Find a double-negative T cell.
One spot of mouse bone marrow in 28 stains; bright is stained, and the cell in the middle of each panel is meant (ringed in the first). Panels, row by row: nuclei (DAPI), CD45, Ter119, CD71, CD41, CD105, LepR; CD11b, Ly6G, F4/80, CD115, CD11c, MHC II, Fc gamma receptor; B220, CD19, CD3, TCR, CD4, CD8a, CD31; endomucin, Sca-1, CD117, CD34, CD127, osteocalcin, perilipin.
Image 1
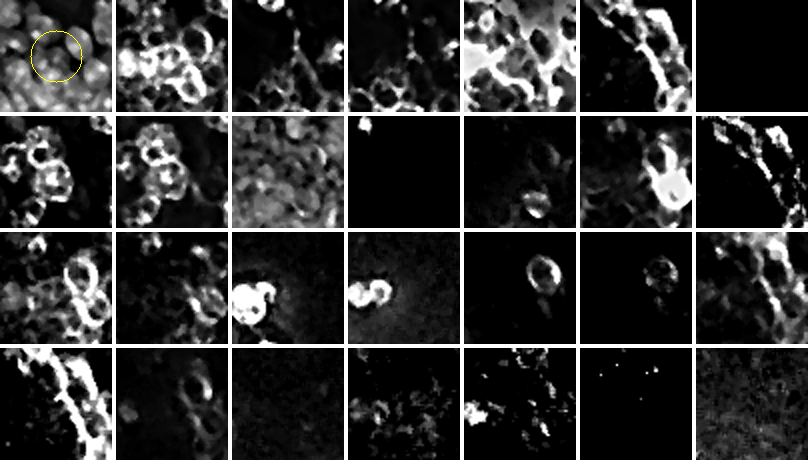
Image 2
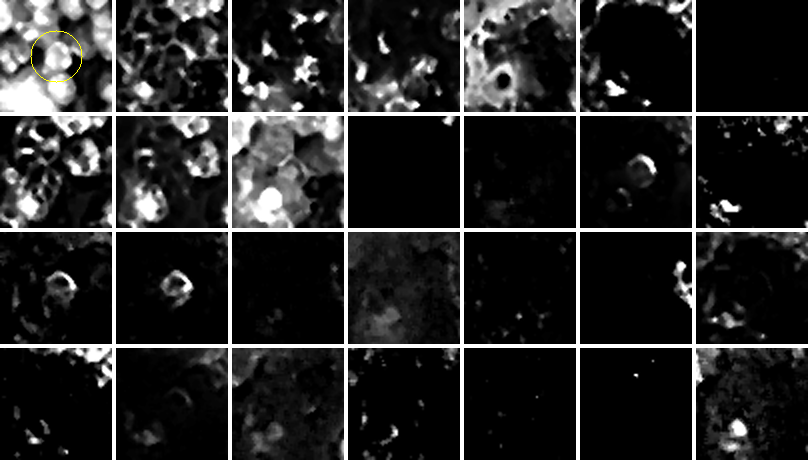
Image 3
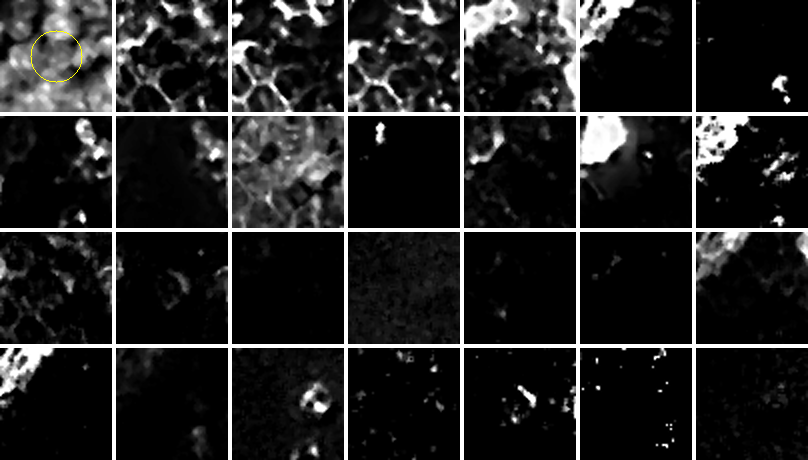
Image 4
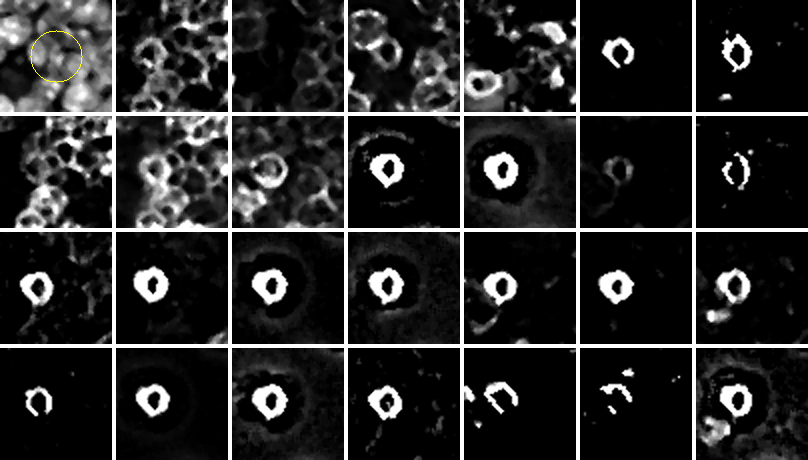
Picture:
4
